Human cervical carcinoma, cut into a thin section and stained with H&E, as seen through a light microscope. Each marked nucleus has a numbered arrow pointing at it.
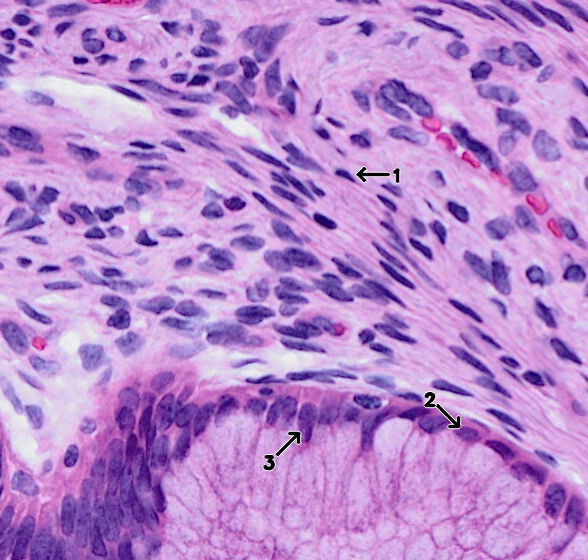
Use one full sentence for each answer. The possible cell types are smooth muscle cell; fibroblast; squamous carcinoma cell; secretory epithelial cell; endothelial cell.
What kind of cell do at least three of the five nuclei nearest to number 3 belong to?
Most of the five nuclei nearest to number 3 are those of secretory epithelial cells.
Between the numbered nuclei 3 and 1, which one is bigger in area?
Nucleus 3 is the larger one, covering about 4 times the area of nucleus 1.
